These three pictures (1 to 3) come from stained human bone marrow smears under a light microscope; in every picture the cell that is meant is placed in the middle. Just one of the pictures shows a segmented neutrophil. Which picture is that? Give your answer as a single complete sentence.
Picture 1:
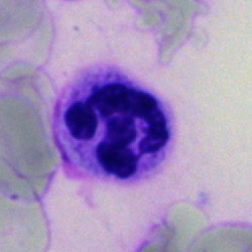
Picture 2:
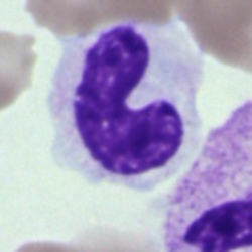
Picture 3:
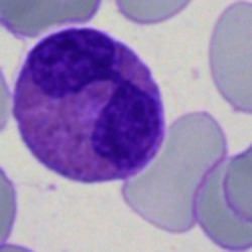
The cell in picture 1 is the segmented neutrophil.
